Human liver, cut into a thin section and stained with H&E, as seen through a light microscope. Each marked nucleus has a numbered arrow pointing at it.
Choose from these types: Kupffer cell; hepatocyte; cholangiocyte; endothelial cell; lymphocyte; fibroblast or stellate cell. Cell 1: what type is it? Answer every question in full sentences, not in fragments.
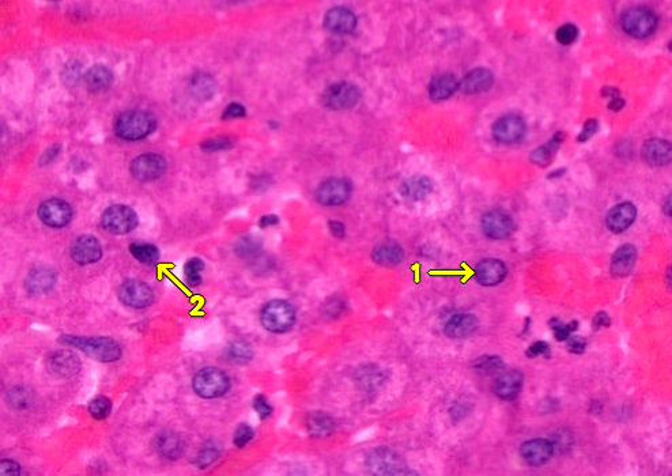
Number 1 among the marked cells is a hepatocyte.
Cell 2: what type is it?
The correct answer for cell 2 is a fibroblast or stellate cell.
